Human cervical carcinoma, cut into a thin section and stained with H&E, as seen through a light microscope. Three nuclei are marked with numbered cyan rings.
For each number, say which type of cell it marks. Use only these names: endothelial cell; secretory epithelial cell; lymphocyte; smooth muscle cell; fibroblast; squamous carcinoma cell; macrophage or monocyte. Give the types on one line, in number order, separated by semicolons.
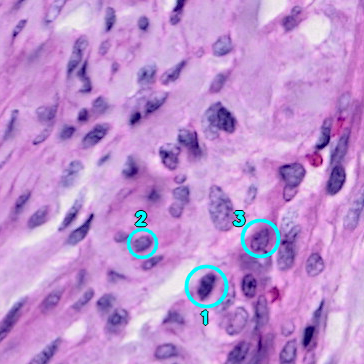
lymphocyte; smooth muscle cell; endothelial cell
